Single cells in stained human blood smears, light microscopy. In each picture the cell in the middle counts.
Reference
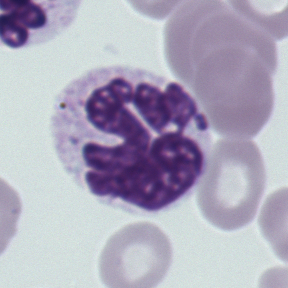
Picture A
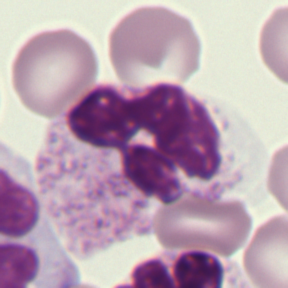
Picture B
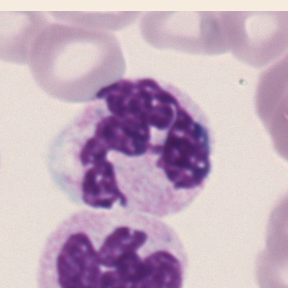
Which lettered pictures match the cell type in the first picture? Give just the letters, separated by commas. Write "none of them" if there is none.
A, B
